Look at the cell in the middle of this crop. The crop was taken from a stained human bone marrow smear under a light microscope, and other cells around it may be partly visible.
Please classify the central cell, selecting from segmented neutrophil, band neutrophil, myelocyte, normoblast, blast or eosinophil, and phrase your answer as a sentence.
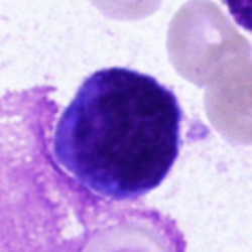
At the crop's centre, the cell is a blast.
